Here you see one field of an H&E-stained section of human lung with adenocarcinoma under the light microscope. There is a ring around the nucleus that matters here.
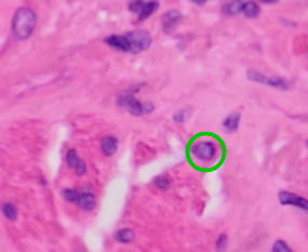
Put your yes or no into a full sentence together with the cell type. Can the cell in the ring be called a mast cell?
Yes, a mast cell is what the cell in the ring is in this section.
